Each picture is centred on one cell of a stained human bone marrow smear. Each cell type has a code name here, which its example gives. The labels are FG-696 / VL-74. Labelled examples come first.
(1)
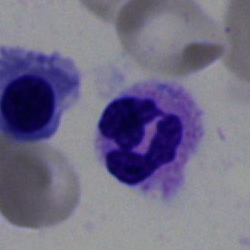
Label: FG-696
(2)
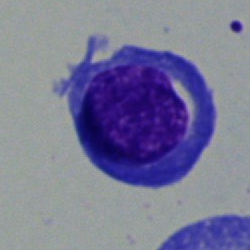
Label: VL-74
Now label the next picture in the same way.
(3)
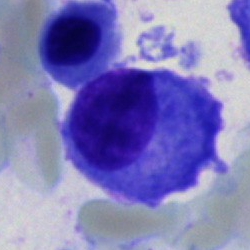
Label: VL-74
